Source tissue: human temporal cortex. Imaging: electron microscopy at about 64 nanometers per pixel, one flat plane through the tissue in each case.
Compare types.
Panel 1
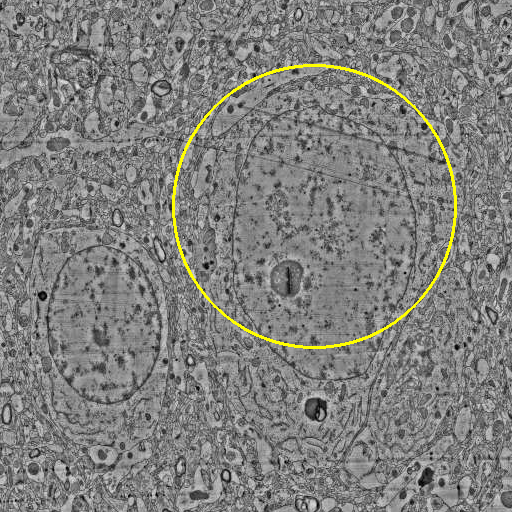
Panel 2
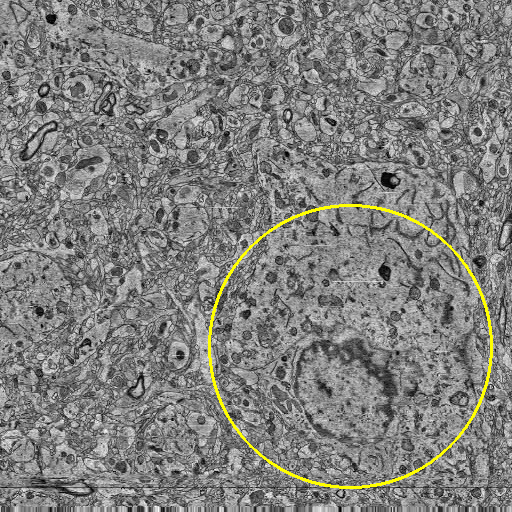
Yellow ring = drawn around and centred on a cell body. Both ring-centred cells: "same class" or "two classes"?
two classes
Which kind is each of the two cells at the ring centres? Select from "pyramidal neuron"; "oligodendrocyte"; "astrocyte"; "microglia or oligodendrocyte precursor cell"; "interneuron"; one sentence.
The cell at the centre of the ring is a pyramidal neuron in the first picture and a microglial cell or oligodendrocyte precursor cell in the second.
